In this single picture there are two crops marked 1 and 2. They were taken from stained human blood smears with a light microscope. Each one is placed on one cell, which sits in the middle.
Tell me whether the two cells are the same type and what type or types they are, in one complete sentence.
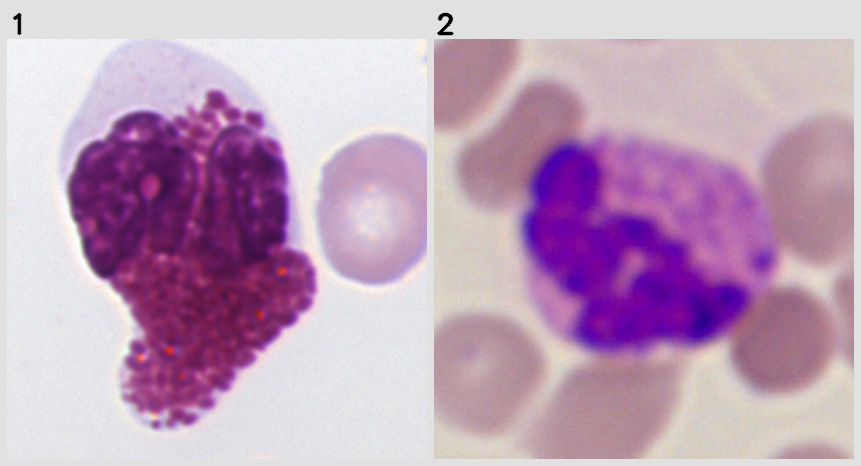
No, in fact crop 1 shows an eosinophil, and crop 2 shows a basophil.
